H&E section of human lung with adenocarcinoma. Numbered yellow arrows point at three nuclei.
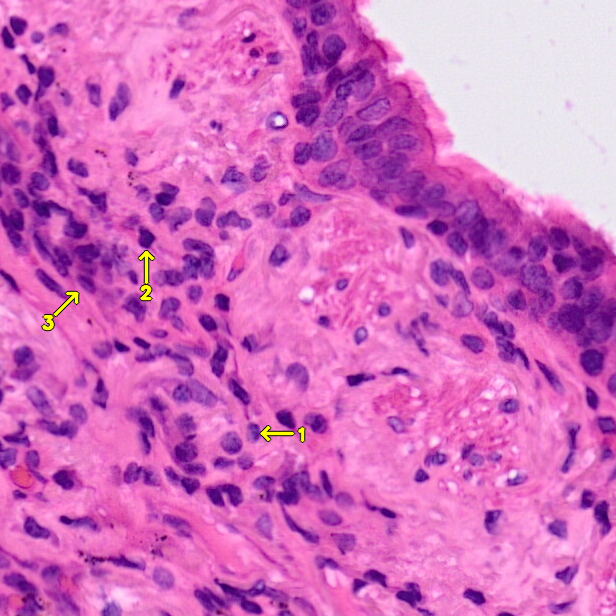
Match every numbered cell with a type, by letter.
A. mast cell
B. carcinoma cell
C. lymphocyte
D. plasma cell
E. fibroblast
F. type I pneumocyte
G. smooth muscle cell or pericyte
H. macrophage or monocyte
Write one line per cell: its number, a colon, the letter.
1: C
2: C
3: D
